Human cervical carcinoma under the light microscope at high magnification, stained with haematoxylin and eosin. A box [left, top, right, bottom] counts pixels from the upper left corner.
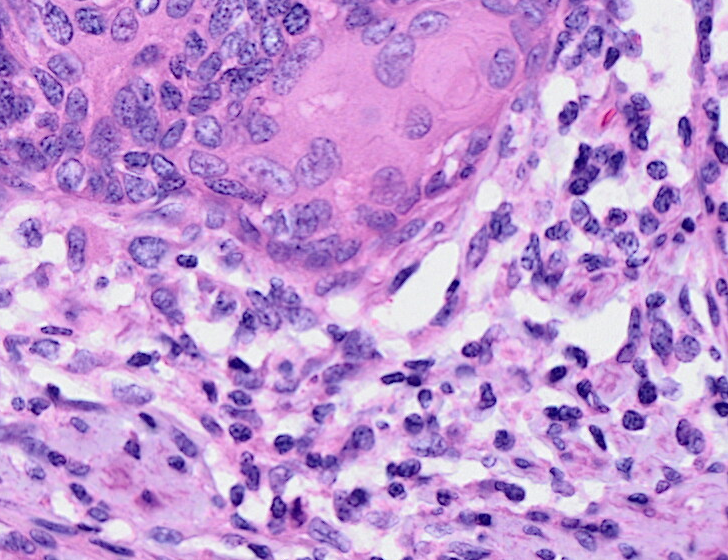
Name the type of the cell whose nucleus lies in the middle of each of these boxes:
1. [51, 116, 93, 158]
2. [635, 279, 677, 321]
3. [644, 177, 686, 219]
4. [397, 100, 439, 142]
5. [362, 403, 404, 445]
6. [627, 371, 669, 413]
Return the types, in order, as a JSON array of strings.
["squamous carcinoma cell", "lymphocyte", "lymphocyte", "squamous carcinoma cell", "lymphocyte", "lymphocyte"]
